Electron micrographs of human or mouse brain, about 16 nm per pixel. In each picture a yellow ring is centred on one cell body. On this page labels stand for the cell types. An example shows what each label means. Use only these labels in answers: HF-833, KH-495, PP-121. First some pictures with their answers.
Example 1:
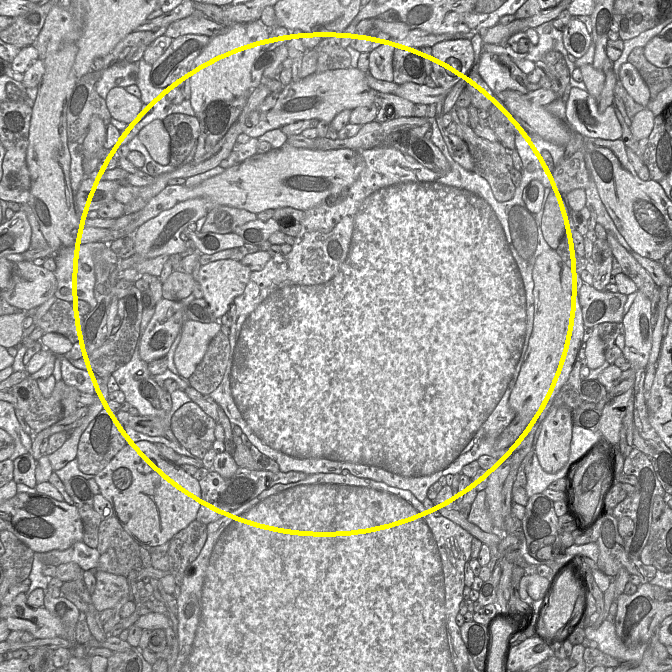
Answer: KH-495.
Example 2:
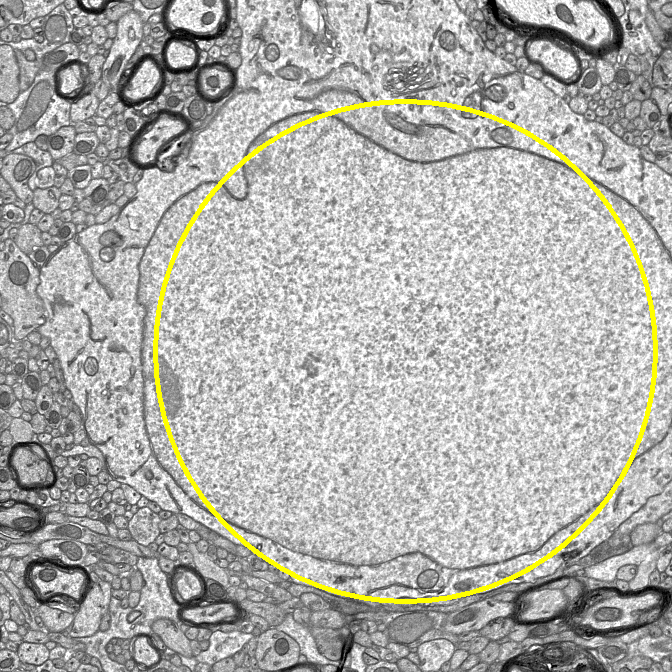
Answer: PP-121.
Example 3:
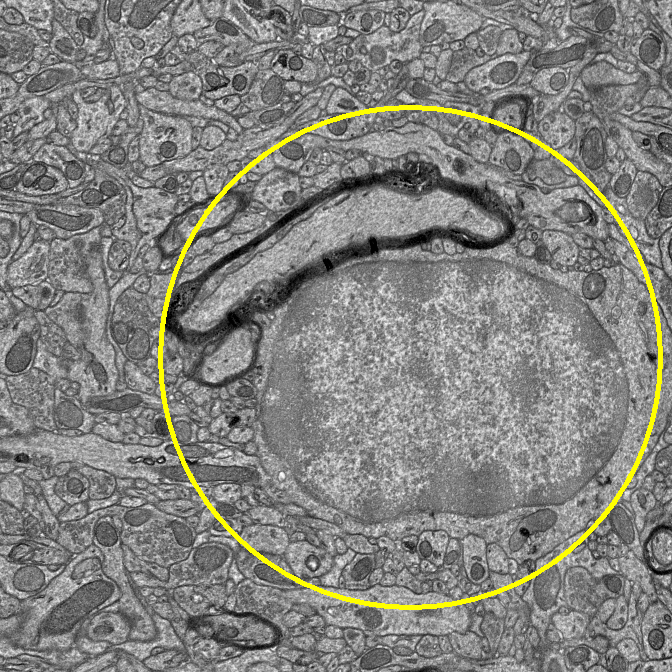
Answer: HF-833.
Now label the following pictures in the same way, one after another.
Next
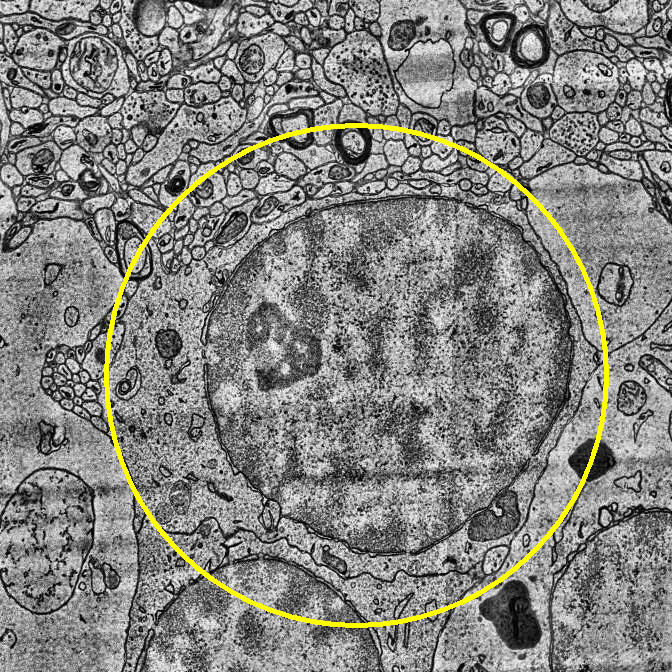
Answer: HF-833.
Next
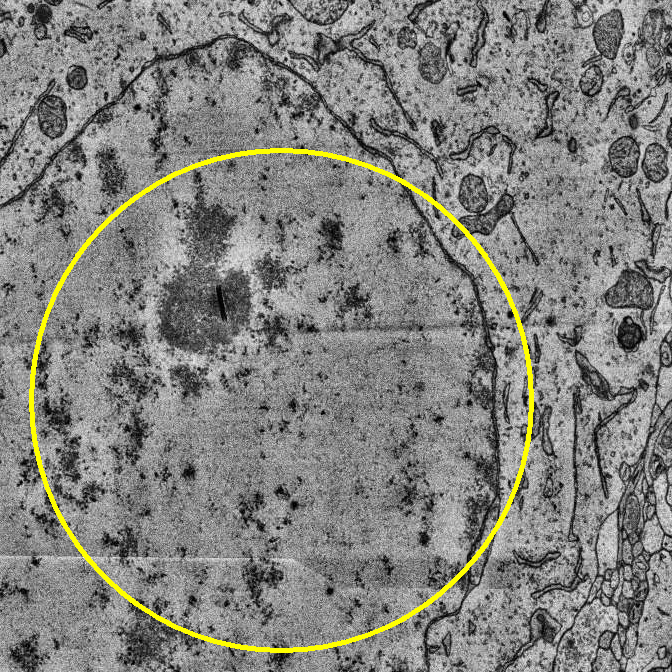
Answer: PP-121.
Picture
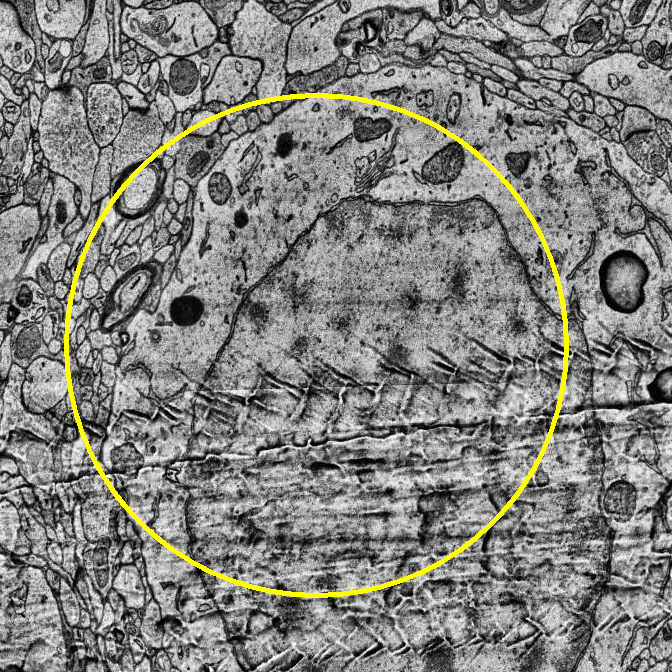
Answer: PP-121.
